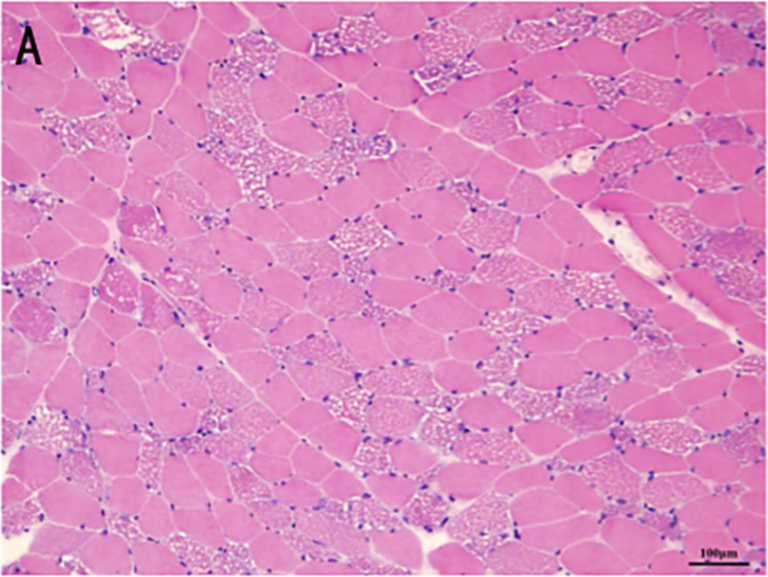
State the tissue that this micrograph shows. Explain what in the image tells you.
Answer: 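Cross-sectioned polygonal fibers packed side by side. Small dark nuclei sit at the fiber edges. Thin strands of connective tissue separate groups of fibers.
Conclusion: muscle fibers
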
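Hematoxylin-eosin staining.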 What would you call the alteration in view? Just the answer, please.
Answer: vacuoles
